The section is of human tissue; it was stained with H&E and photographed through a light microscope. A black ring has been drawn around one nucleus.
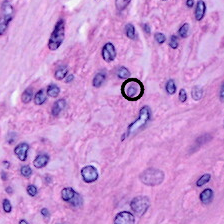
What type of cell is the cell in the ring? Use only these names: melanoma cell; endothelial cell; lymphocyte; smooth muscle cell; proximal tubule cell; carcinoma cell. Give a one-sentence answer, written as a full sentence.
In short, the cell in the ring on this section is a smooth muscle cell.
